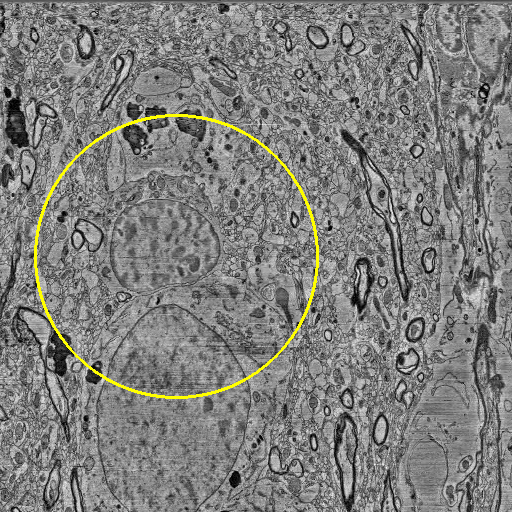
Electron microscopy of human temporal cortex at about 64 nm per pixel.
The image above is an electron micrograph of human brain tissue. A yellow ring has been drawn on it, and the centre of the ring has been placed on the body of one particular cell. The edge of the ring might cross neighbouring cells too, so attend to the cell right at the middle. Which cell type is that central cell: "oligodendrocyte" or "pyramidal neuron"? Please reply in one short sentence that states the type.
The central cell in the ring is an oligodendrocyte.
